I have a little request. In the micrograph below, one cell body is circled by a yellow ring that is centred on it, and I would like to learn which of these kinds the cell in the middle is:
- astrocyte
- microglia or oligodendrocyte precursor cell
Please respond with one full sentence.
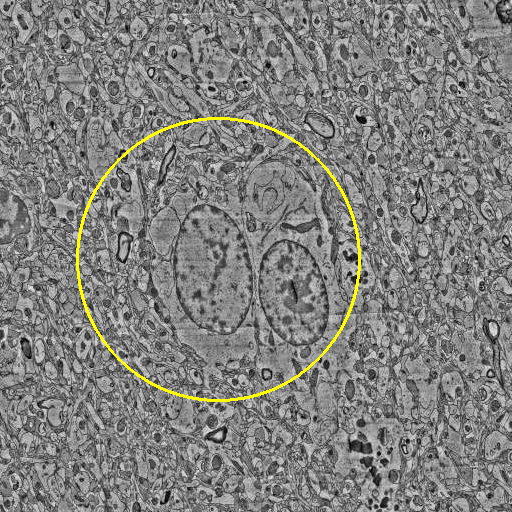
The cell sitting in the middle of the yellow ring in the micrograph is an astrocyte.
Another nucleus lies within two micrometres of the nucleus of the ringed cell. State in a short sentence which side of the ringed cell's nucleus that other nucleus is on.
The other nucleus is located to the right of it.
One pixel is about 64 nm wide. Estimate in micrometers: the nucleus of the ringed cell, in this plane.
About 8 by 5 micrometres; in this plane the nucleus is clearly longer than it is wide.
